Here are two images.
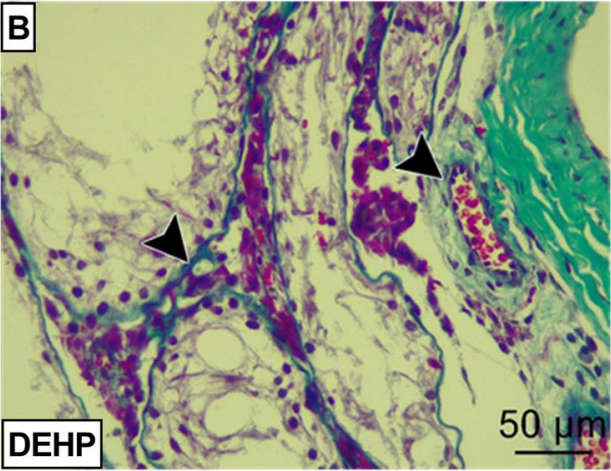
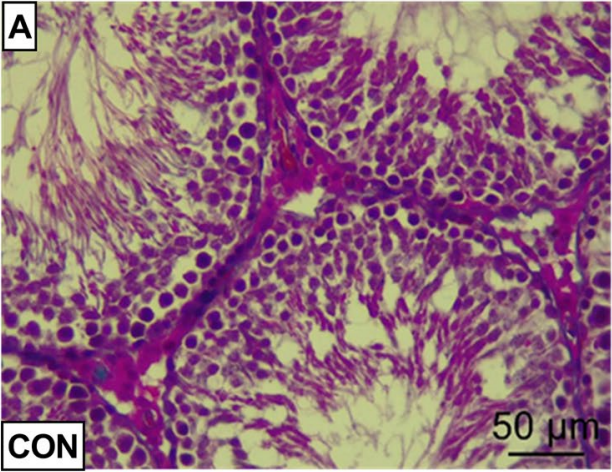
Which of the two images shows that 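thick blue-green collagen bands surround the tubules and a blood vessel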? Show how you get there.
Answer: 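First image: broad blue-green fibrous bands between tubules and around a vessel. Second image: barely any blue-green; thin purple-red borders between tubules. So: the first image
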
